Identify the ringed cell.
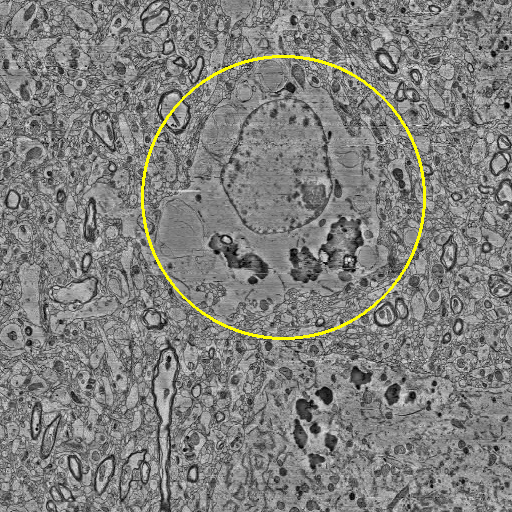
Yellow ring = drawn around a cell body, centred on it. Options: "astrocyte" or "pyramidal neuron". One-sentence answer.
What the ring is centred on is an astrocyte.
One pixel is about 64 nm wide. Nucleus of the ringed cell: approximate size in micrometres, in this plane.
In this plane the nucleus measures roughly 9 by 8 micrometres.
